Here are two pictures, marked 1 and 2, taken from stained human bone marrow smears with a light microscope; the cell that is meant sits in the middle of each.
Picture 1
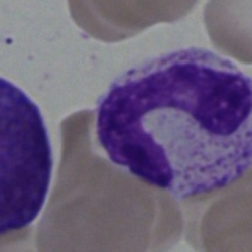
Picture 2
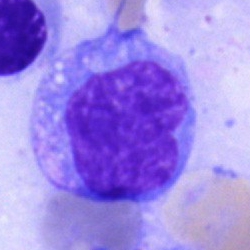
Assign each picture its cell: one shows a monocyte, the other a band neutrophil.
1: band neutrophil
2: monocyte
